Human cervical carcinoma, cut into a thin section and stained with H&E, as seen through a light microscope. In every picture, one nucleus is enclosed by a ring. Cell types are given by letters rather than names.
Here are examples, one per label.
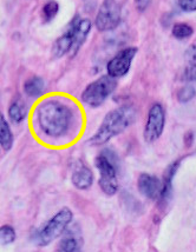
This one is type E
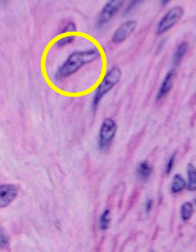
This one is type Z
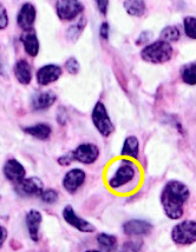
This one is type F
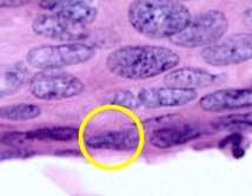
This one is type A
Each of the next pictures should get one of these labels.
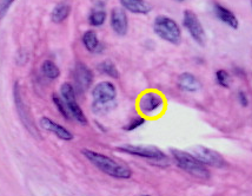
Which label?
type E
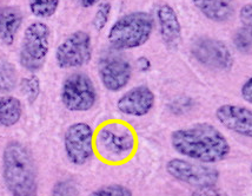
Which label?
type A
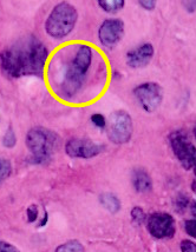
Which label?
type A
